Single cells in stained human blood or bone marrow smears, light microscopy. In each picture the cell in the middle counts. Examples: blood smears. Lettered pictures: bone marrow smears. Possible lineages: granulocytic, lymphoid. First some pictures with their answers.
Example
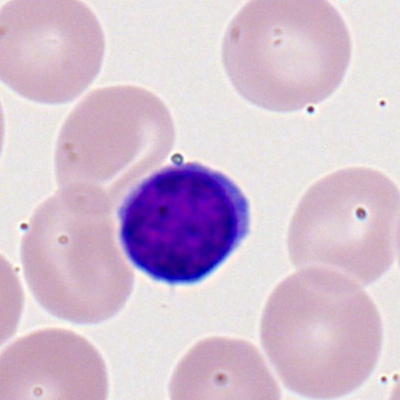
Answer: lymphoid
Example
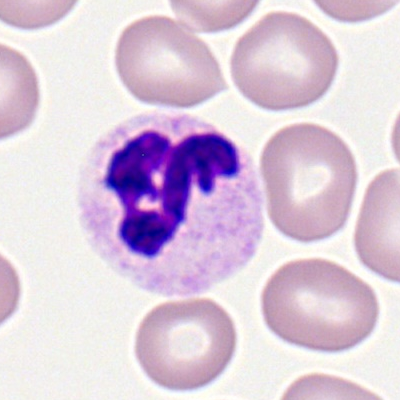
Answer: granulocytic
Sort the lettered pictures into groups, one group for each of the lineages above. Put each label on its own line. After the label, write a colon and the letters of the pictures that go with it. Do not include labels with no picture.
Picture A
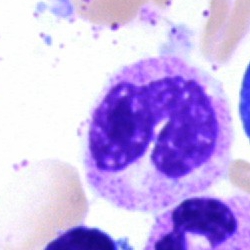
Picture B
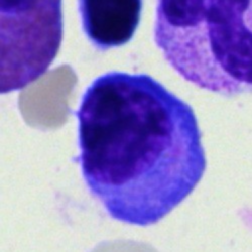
granulocytic: A
lymphoid: B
